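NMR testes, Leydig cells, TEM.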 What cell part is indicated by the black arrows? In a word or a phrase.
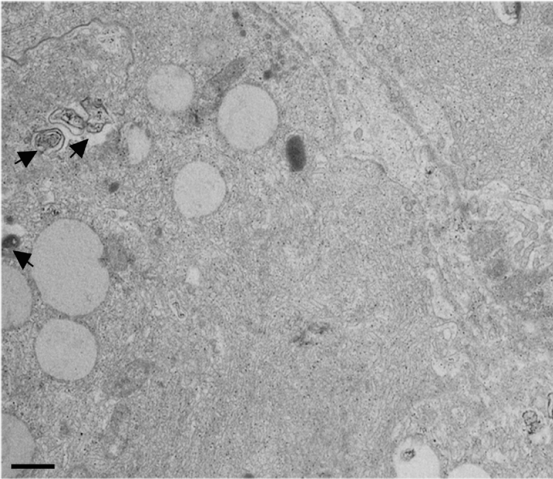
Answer: Autophagosomes.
